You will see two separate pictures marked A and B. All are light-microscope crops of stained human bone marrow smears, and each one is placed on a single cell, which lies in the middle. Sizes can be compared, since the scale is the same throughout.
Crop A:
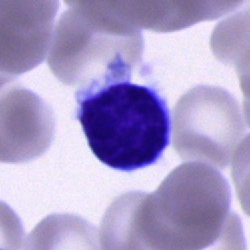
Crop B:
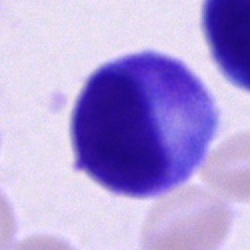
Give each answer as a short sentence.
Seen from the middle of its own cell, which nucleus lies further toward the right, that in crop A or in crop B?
It is the nucleus in crop A that lies further toward the right of its cell.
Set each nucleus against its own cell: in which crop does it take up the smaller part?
It is the cell in crop B that is filled less by its nucleus.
